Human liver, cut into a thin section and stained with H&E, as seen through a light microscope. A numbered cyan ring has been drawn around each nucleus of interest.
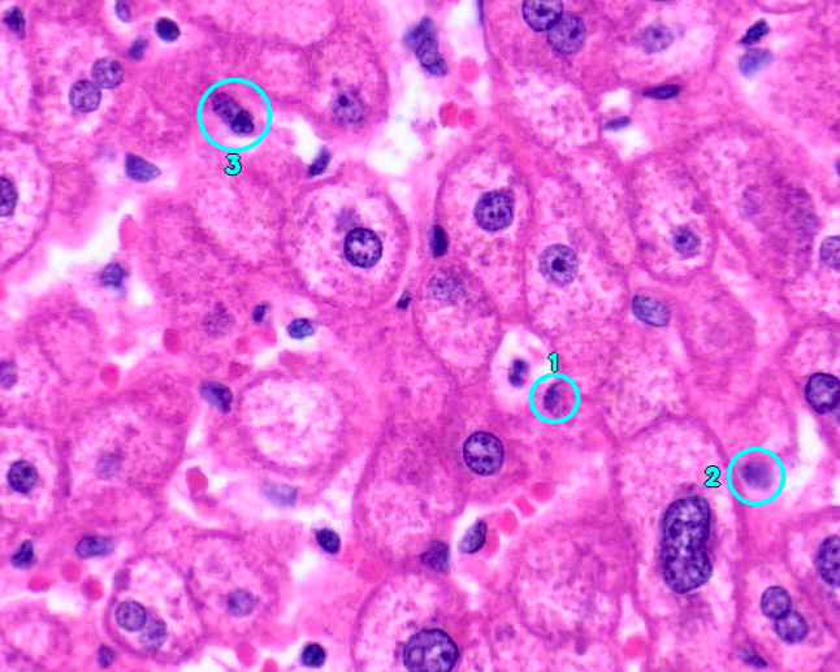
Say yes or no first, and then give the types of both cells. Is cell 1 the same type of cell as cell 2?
Yes, cells 1 and 2 are, both of them, endothelial cells.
